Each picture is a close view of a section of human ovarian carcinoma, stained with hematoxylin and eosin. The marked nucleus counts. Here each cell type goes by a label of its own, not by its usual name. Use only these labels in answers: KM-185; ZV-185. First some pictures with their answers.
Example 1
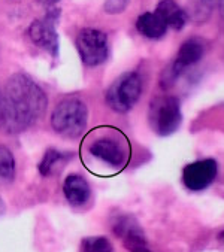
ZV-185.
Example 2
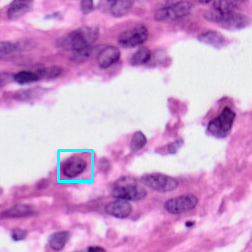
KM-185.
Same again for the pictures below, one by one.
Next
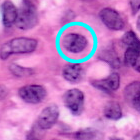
KM-185.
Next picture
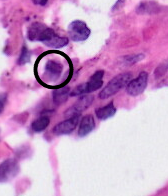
ZV-185.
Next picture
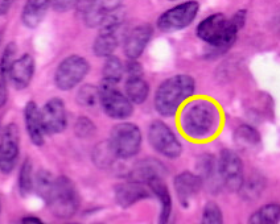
ZV-185.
